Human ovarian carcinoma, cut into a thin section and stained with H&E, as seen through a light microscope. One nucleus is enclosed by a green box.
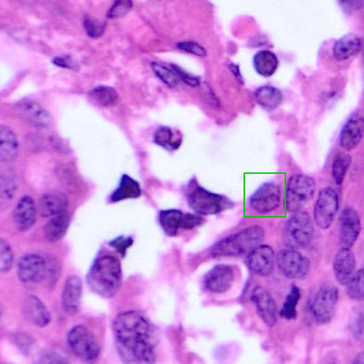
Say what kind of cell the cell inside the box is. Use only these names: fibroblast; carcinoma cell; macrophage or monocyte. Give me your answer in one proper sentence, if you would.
In the tissue under study, the cell inside the box is a carcinoma cell.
